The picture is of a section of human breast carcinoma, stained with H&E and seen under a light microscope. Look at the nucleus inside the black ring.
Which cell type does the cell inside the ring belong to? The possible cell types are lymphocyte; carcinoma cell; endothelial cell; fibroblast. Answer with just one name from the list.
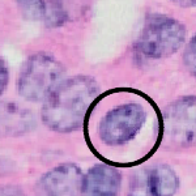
carcinoma cell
